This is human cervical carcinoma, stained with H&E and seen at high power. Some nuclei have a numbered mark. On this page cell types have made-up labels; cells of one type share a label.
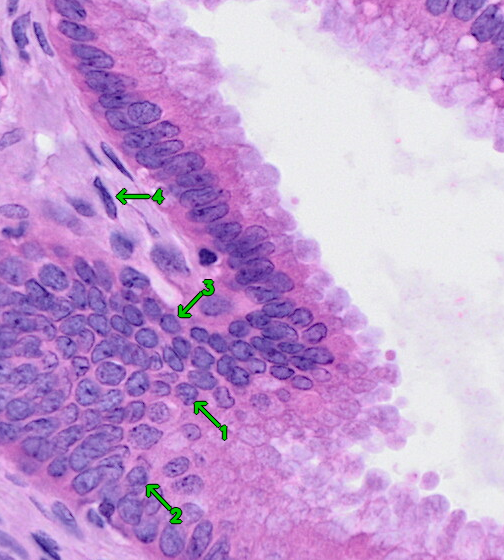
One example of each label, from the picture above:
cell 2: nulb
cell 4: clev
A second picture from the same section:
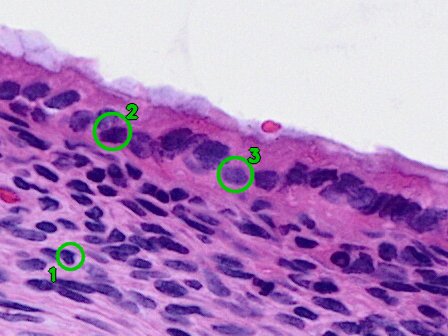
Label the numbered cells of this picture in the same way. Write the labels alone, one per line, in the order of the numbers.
clev
nulb
nulb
